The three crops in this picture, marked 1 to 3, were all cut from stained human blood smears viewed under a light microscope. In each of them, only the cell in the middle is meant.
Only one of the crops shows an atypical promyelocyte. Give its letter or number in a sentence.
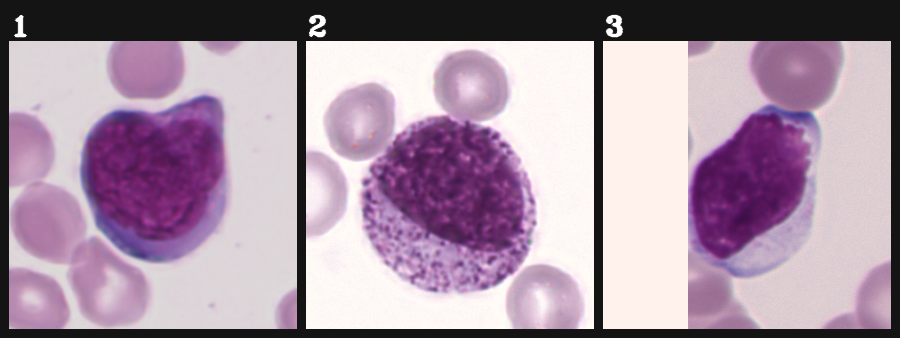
Here the crop that shows an atypical promyelocyte is crop 1.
